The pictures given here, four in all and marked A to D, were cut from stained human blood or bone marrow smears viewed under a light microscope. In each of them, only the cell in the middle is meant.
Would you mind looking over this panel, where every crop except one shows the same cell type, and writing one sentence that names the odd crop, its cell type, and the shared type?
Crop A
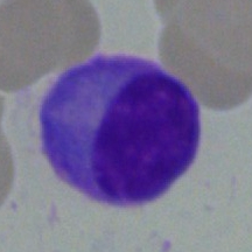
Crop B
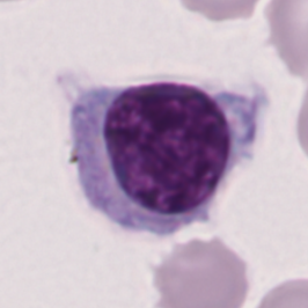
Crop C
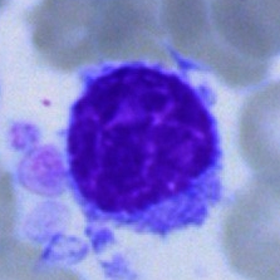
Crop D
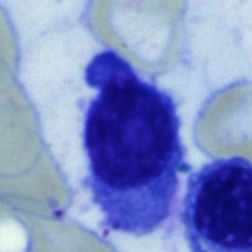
Crop C does not match the others; it shows a hairy cell, and they show plasma cells.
